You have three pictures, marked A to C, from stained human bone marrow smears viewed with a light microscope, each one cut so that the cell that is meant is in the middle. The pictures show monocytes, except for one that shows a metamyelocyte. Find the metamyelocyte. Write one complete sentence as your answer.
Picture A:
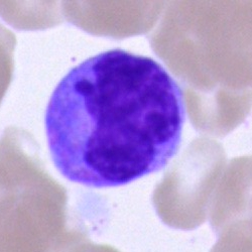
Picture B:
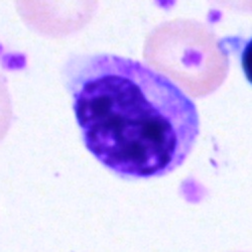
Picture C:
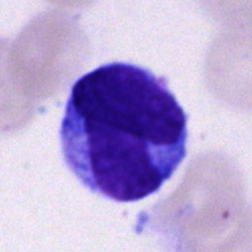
It is picture B that shows the metamyelocyte.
